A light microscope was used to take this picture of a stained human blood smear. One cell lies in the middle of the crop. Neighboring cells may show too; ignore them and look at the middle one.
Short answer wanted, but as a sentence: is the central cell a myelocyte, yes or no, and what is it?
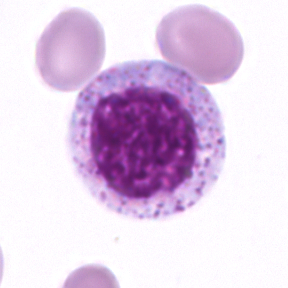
Yes, the cell positioned at the centre of the crop is a myelocyte.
